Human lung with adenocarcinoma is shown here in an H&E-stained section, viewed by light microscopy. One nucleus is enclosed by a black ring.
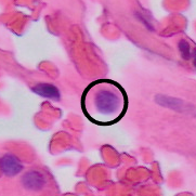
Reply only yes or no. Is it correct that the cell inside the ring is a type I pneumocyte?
yes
